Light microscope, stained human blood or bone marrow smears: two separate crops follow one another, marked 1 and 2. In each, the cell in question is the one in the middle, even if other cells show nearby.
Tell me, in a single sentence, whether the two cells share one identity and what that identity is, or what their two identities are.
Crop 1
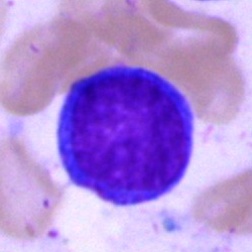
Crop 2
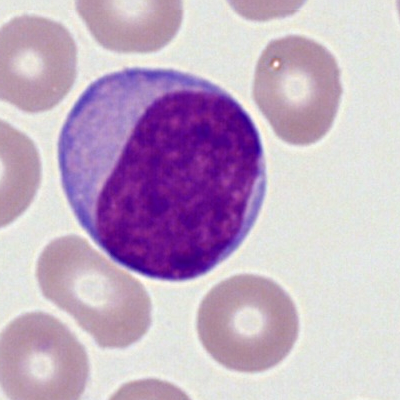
Yes, both crops show blasts in their central position.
